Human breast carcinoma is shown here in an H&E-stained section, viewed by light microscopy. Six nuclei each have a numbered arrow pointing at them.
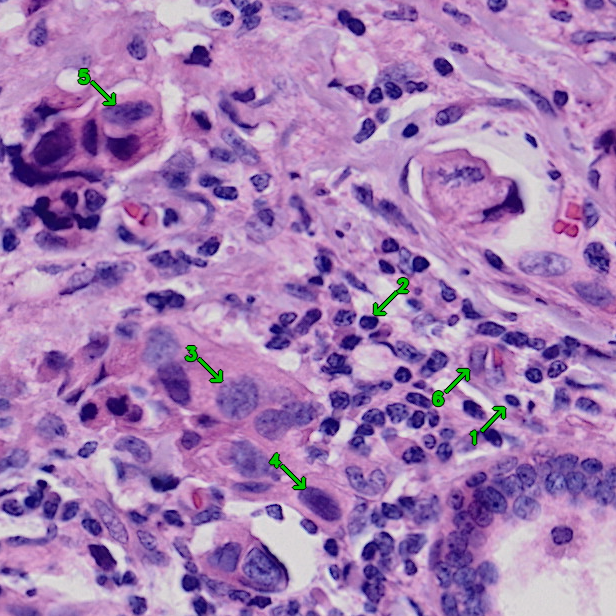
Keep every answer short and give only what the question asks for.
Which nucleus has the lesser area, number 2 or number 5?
2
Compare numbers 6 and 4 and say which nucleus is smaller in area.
6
